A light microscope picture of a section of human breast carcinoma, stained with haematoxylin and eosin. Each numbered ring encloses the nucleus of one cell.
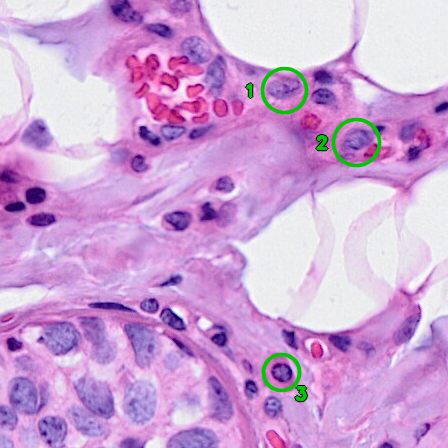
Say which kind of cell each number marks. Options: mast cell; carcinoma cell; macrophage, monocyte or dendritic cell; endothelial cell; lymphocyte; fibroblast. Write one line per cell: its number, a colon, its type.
1: endothelial cell
2: endothelial cell
3: mast cell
